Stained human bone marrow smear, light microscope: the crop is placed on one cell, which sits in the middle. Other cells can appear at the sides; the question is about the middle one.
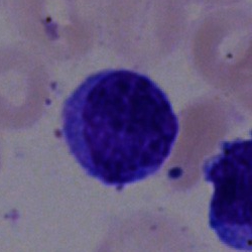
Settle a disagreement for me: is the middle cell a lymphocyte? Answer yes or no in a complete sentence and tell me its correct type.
Yes, that is right: the middle cell is a lymphocyte.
